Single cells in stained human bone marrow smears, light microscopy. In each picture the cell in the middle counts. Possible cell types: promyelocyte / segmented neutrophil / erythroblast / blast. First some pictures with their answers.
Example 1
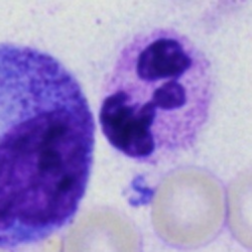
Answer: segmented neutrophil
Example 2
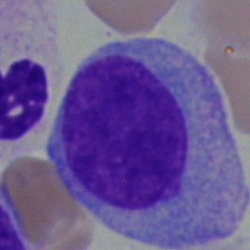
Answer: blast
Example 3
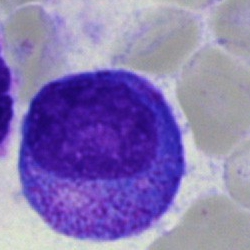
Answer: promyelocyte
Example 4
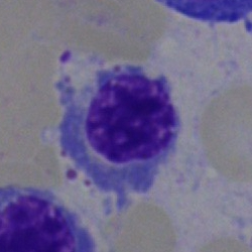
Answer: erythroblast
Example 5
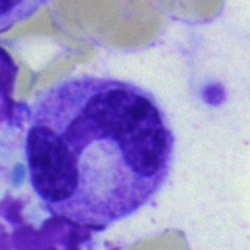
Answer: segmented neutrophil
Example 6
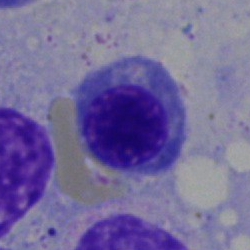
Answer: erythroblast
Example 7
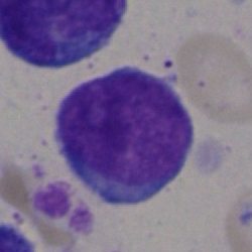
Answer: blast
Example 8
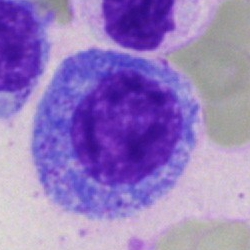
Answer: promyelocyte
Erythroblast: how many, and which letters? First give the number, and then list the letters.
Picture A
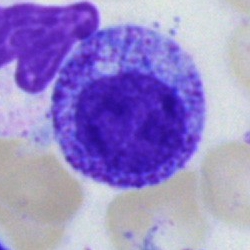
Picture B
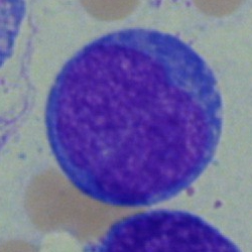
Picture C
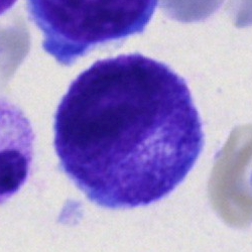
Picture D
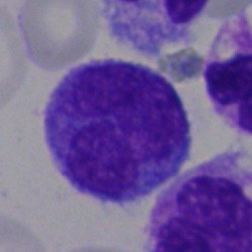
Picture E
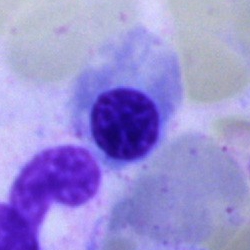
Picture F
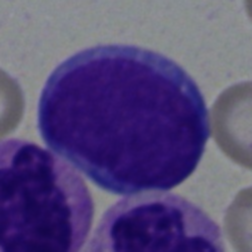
1, namely E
